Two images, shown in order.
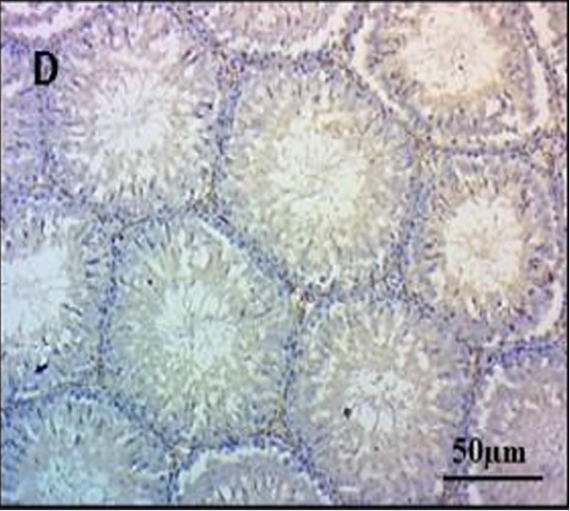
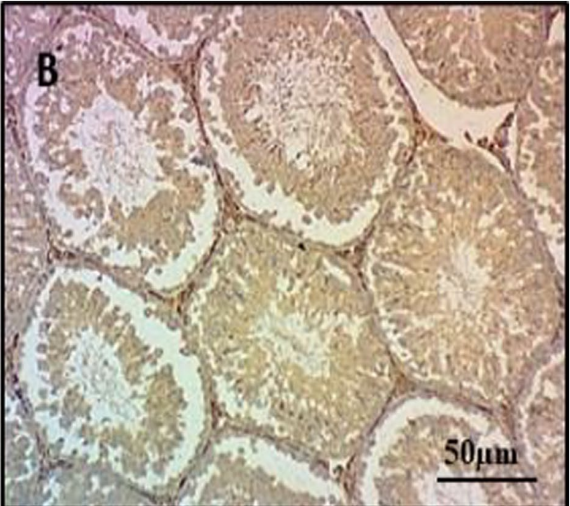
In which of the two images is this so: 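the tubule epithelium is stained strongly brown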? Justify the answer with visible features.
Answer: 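First image: tubules are mostly pale with blue nuclei and little brown colour. Second image: the epithelium of the tubules is diffusely brown throughout. On this evidence: the second image.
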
